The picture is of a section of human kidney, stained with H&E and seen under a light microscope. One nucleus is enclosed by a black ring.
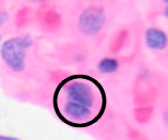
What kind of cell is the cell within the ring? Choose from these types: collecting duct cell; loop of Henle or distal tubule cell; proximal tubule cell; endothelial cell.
endothelial cell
